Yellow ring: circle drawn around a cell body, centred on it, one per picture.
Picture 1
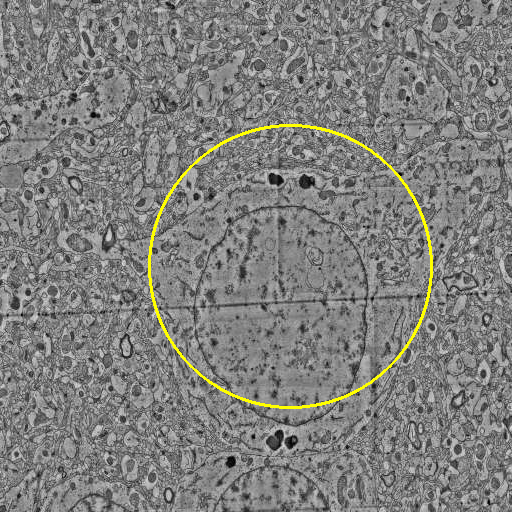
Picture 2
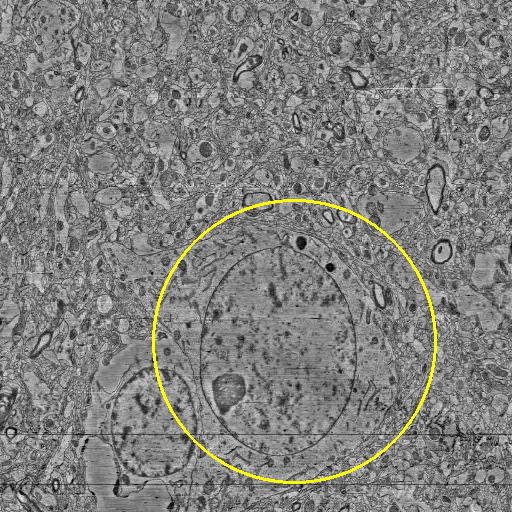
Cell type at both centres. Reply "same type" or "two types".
same type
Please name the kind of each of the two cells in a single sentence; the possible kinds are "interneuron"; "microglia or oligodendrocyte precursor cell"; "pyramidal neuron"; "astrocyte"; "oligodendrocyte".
Each of the two rings is centred on a pyramidal neuron.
